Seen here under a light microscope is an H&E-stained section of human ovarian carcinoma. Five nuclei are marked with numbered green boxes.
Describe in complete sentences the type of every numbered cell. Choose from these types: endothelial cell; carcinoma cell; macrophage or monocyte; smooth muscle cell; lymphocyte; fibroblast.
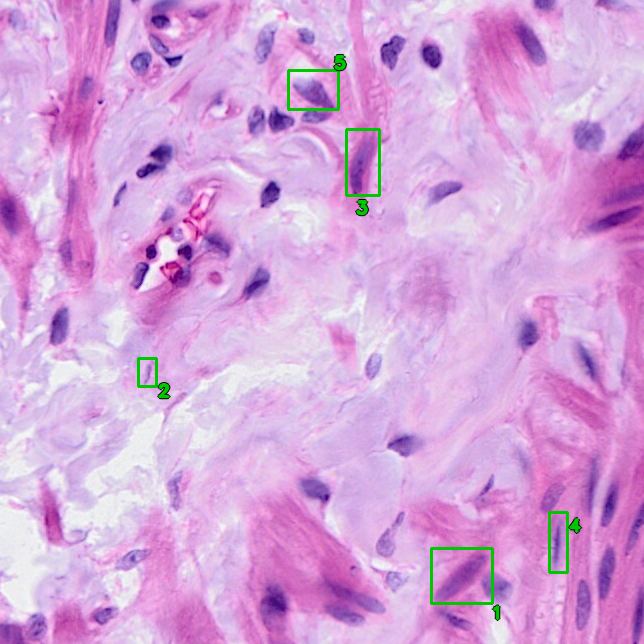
Cell 1 is a smooth muscle cell, cell 2 is a fibroblast, cell 3 is a smooth muscle cell, cell 4 is a smooth muscle cell and cell 5 is an endothelial cell.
